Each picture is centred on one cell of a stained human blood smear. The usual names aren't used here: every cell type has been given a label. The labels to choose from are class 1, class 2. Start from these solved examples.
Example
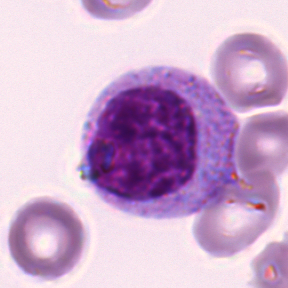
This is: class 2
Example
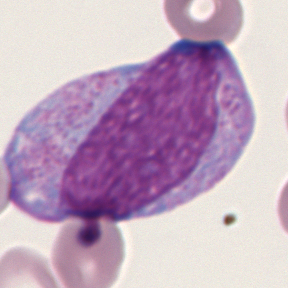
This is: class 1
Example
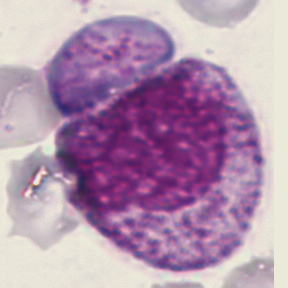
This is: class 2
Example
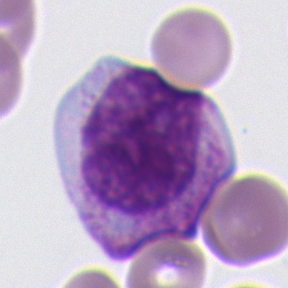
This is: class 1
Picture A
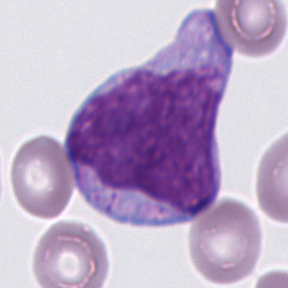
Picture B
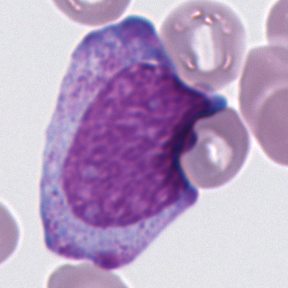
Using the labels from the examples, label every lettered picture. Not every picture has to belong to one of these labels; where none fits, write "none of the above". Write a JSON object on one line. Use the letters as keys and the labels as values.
{"A": "class 1", "B": "class 1"}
